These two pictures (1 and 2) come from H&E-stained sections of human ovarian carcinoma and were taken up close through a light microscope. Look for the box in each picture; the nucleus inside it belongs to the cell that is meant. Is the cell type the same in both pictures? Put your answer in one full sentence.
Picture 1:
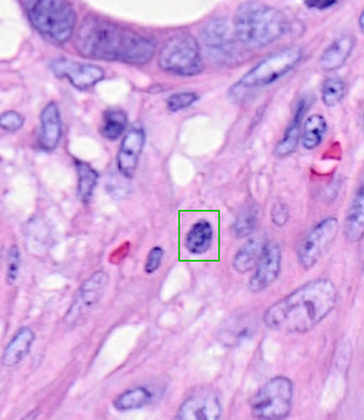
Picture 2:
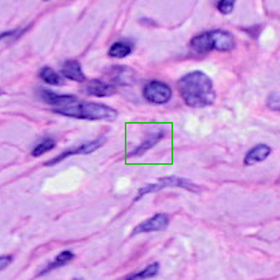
No, the types are not the same, since picture 1 shows a lymphocyte and picture 2 a fibroblast.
